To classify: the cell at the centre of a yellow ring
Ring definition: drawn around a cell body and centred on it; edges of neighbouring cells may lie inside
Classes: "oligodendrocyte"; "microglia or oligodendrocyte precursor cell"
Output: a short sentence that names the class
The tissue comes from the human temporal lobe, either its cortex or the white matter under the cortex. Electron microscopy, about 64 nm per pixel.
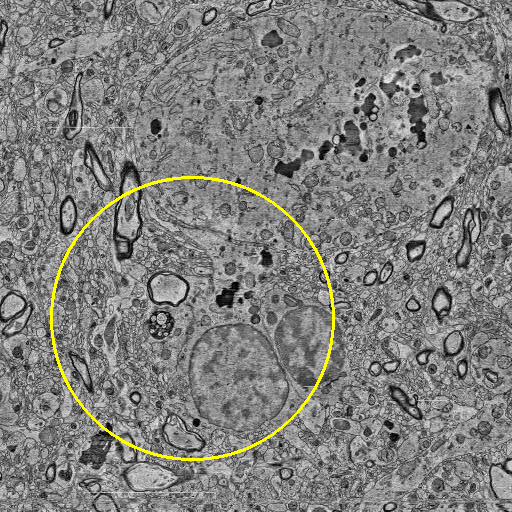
The ringed cell is an oligodendrocyte.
